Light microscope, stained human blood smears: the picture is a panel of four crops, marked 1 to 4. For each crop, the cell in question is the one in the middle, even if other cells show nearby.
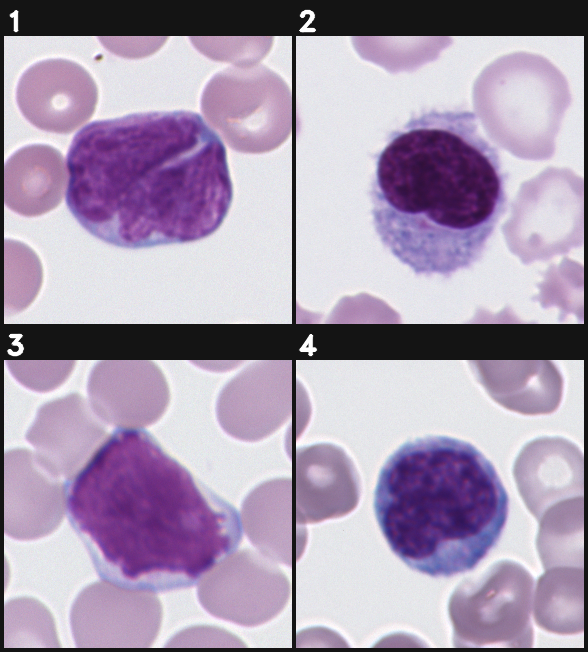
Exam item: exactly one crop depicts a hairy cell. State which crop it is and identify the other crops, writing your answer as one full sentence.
The central cell in crop 2 is a hairy cell, whereas crop 1 is an atypical promyelocyte, crop 3 is a typical lymphocyte and crop 4 is a monocyte.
